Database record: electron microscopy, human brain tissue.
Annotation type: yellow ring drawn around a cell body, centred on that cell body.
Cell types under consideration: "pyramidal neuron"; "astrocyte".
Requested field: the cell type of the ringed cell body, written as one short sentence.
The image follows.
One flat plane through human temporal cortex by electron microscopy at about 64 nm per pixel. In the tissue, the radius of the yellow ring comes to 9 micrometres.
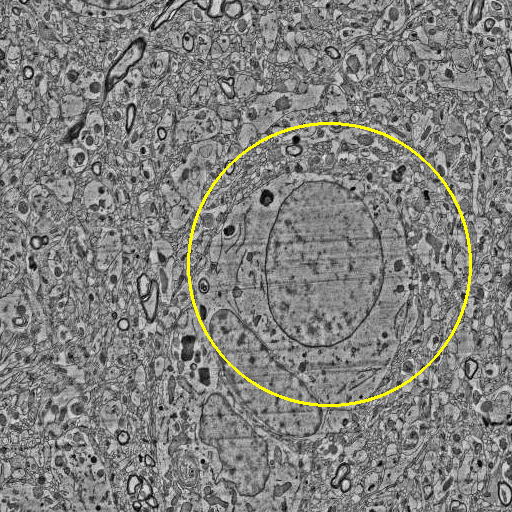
The ringed cell body represents a pyramidal neuron.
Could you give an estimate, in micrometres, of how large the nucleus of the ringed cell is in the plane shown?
The nucleus of the ringed cell is approximately 11 by 8 micrometres in this plane.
